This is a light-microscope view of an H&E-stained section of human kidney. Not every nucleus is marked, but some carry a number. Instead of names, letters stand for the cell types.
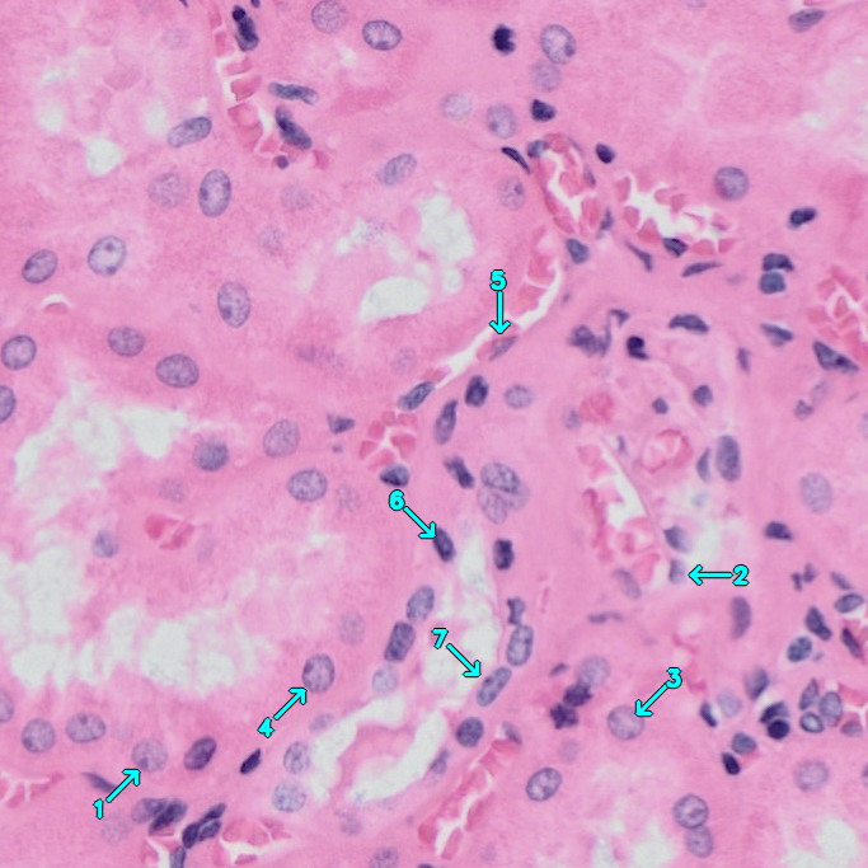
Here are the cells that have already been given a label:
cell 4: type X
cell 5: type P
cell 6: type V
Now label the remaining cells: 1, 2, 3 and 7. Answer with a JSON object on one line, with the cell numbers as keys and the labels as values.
{"1": "type X", "2": "type P", "3": "type X", "7": "type V"}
